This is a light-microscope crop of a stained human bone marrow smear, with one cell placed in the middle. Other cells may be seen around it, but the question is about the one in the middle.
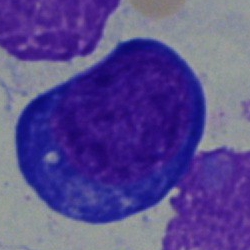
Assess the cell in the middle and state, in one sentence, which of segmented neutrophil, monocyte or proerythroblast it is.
Located at the centre of the crop is a proerythroblast.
